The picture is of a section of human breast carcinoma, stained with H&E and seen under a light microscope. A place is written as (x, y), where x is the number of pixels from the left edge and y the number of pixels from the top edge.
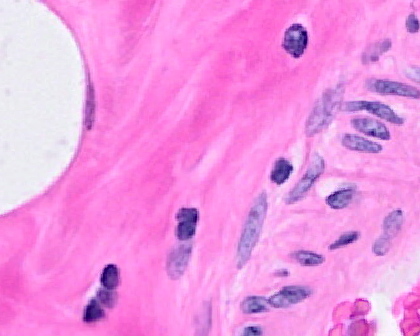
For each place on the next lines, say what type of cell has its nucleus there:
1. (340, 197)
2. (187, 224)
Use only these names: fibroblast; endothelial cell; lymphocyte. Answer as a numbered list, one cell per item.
1. endothelial cell
2. lymphocyte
